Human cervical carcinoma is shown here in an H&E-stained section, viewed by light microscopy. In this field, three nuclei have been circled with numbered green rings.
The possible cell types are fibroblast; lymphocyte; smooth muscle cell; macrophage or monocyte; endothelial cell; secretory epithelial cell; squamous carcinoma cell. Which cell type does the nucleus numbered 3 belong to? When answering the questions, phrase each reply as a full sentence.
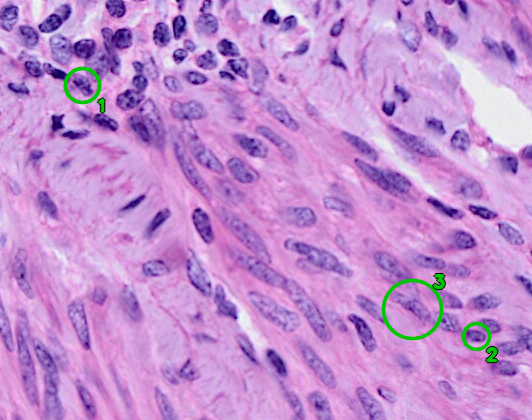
The identity of cell 3 is that of a smooth muscle cell.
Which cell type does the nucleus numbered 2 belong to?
Cell 2, as marked in the section, is a smooth muscle cell.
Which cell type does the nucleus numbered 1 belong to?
Cell 1 in the field of view is a lymphocyte.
